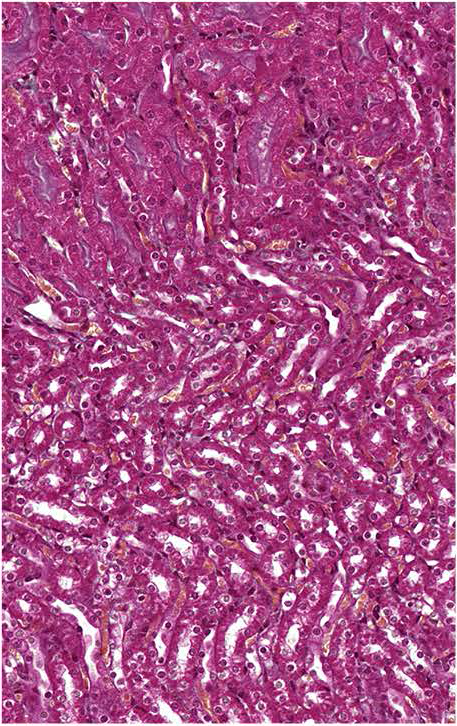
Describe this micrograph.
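Kidney tissue of densely packed tubules with red cytoplasm and dark round nuclei. The upper field holds larger tubules with thick red-purple epithelium and small lumens; the lower field holds numerous smaller tubules cut in cross and oblique section, each a ring of epithelial cells around a white lumen. Narrow interstitial spaces between tubules contain orange-tinged streaks.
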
